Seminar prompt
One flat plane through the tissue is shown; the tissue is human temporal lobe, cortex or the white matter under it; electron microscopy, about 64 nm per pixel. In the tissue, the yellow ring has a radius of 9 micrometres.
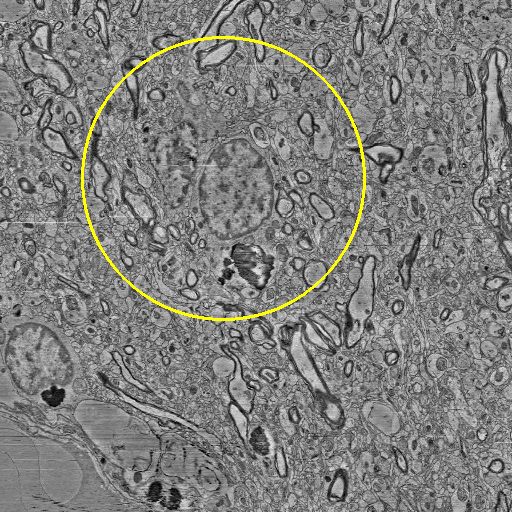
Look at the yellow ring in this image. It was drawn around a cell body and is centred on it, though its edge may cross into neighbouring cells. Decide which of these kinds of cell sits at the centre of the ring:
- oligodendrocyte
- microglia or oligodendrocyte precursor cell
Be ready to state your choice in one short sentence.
The kind of cell at the ring's centre is an oligodendrocyte.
